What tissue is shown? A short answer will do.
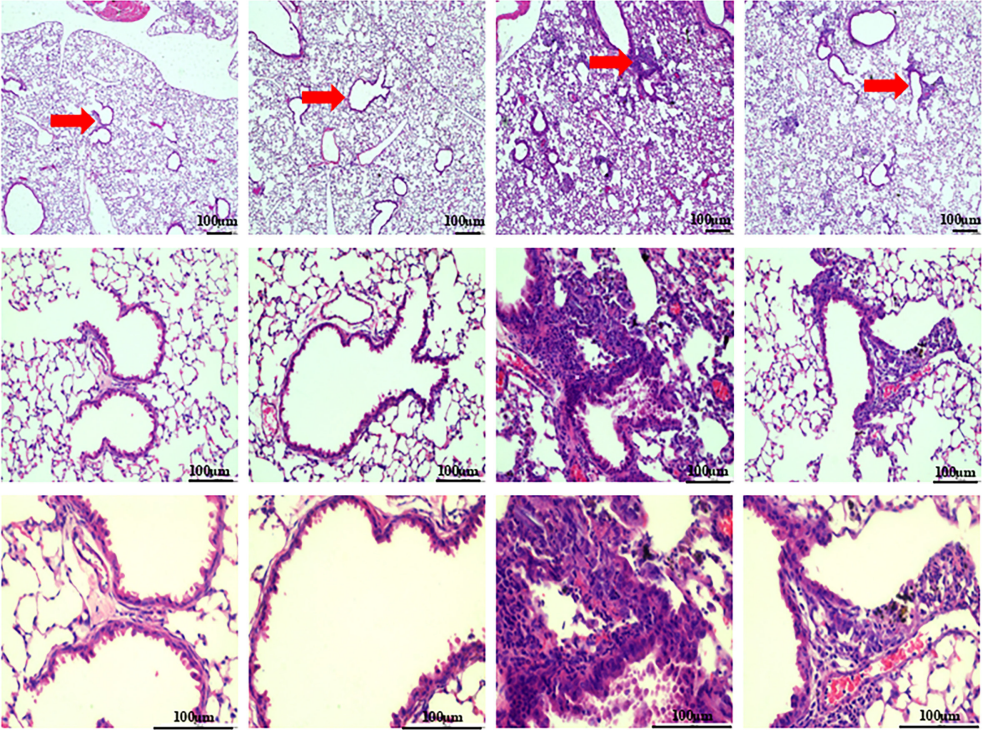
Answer: Lung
